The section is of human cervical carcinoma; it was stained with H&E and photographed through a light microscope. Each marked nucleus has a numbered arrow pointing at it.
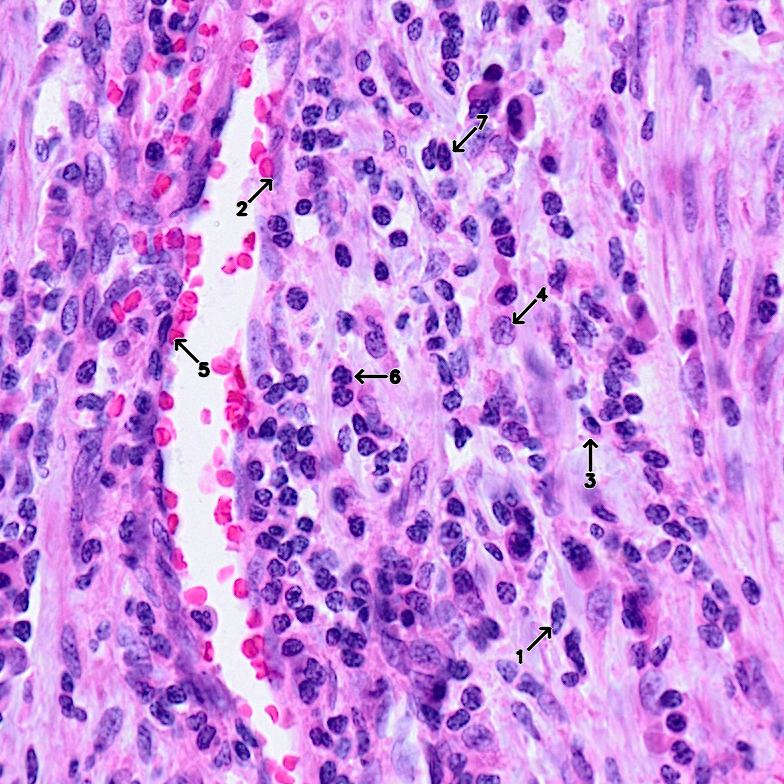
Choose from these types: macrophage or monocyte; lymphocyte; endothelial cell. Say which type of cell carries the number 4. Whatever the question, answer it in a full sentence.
Cell 4, among those numbered, is a macrophage or monocyte.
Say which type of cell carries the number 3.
The cell referenced by the number 3 is a lymphocyte in this field.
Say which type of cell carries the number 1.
Belonging to a lymphocyte is the nucleus that carries the number 1.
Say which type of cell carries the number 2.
The expected answer is that cell 2 is an endothelial cell.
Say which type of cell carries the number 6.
Belonging to a lymphocyte is the nucleus that carries the number 6.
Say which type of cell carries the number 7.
Classified as a lymphocyte is the cell with the number 7.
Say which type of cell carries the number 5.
The cell identified by number 5 is an endothelial cell.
